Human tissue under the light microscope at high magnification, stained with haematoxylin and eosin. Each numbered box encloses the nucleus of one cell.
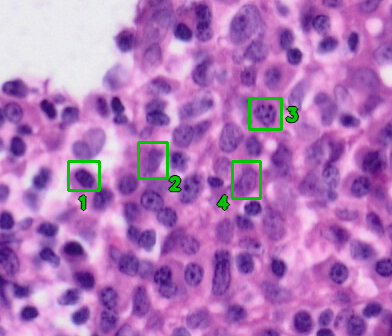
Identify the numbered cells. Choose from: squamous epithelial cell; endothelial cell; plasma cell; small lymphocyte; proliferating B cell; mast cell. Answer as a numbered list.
1. plasma cell
2. squamous epithelial cell
3. plasma cell
4. squamous epithelial cell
